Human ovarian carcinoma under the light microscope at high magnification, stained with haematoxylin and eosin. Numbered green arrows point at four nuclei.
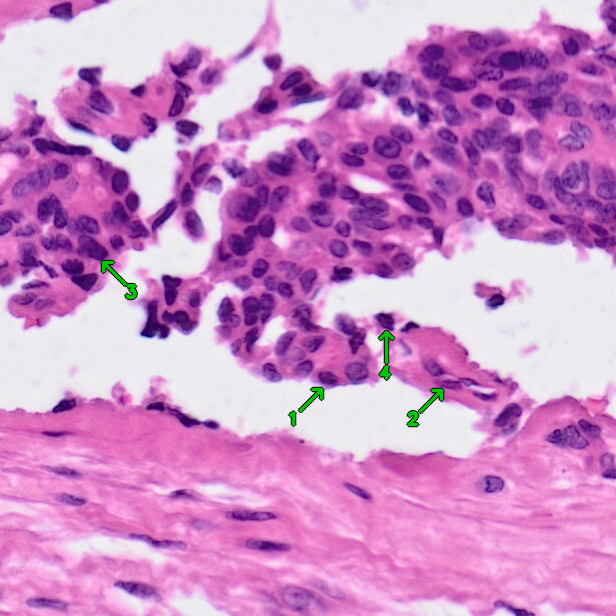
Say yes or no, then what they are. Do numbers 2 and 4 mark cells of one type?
No, cell 2 is recognized as an endothelial cell, and cell 4 as a carcinoma cell.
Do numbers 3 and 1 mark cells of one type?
Yes, that is right: cells 3 and 1 are both carcinoma cells.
